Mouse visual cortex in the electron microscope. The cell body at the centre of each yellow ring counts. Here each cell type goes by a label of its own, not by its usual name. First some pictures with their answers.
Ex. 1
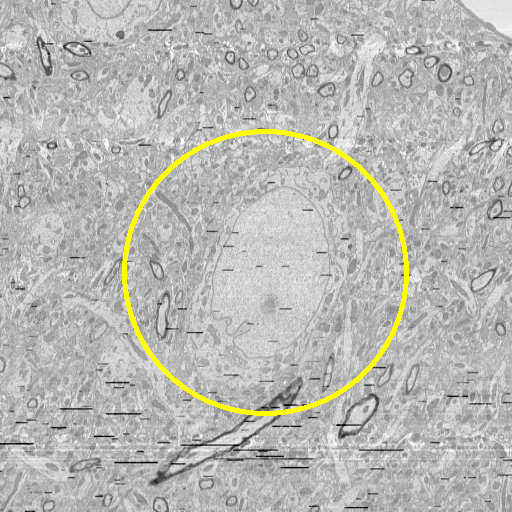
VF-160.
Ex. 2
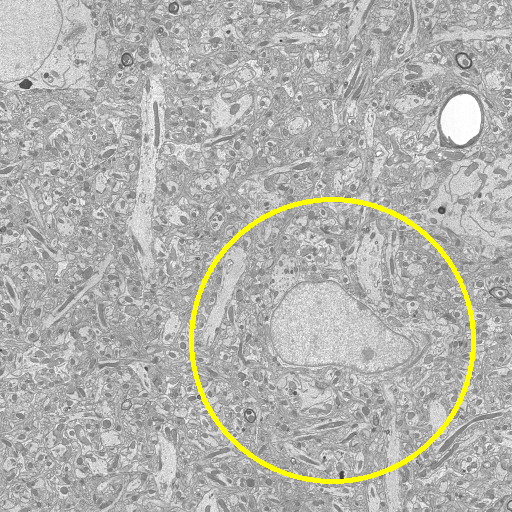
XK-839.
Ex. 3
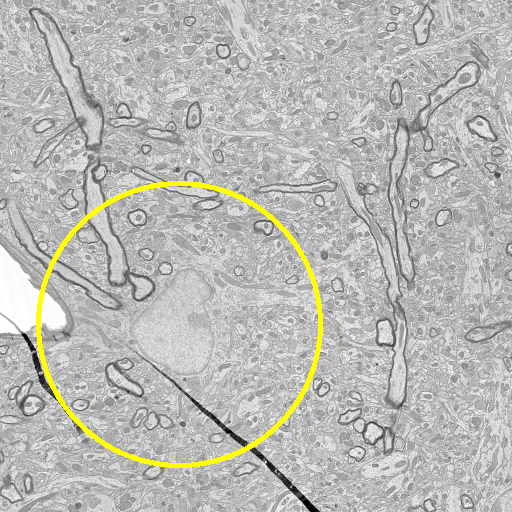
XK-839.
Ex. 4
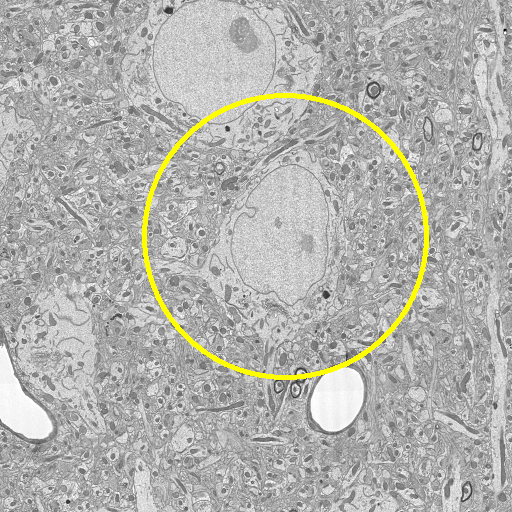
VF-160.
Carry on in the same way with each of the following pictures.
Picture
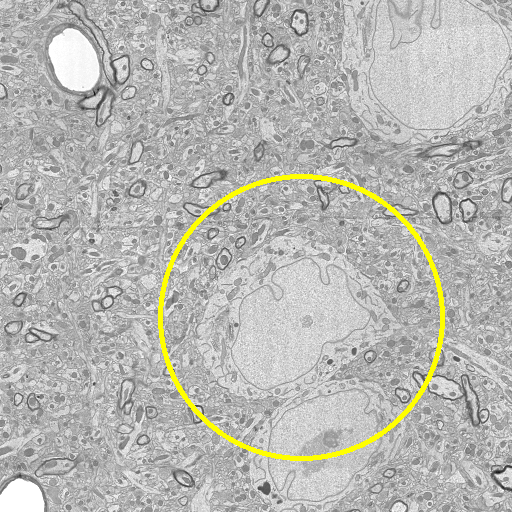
VF-160.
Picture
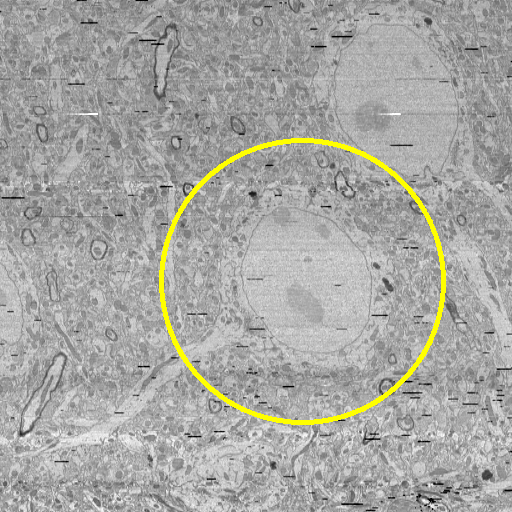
VF-160.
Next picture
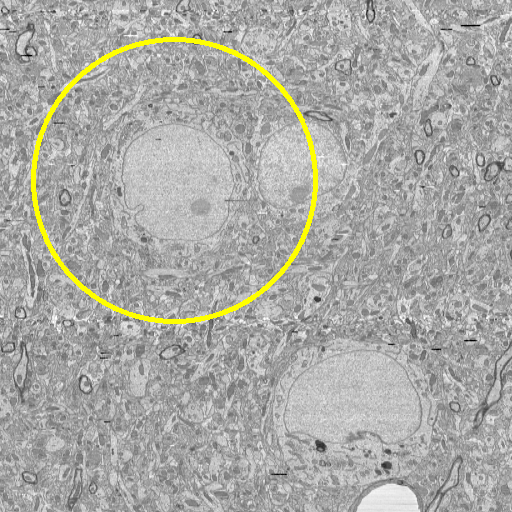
VF-160.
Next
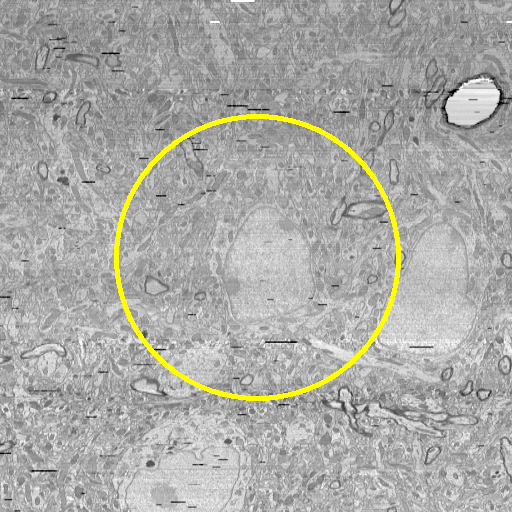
XK-839.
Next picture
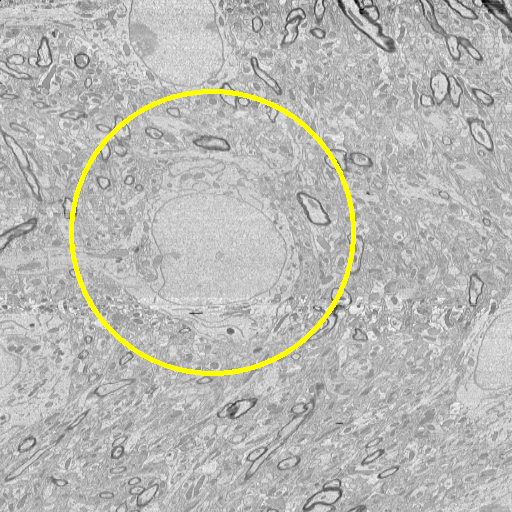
VF-160.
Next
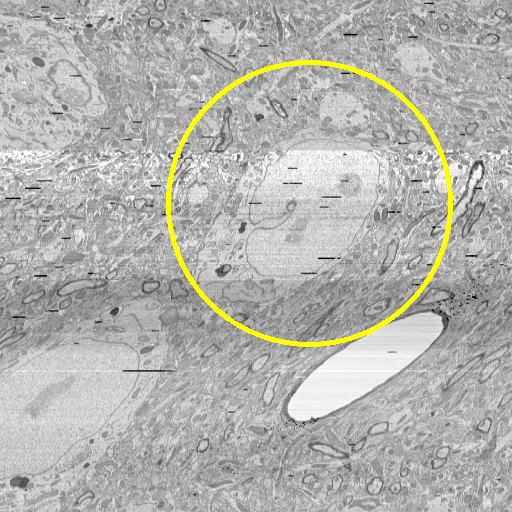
VF-160.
